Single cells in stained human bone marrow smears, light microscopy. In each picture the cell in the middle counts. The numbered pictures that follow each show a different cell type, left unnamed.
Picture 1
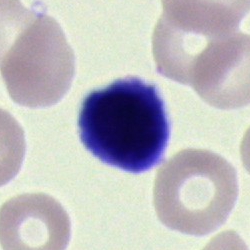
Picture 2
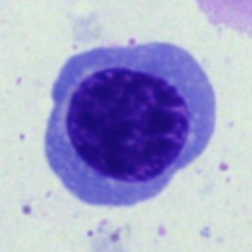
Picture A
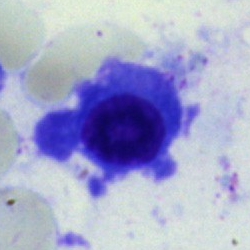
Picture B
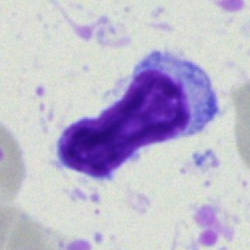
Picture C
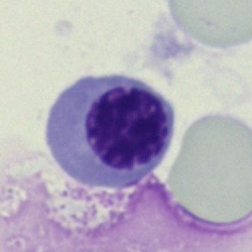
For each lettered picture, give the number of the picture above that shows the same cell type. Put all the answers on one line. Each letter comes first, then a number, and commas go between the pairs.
A 2, B 1, C 2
